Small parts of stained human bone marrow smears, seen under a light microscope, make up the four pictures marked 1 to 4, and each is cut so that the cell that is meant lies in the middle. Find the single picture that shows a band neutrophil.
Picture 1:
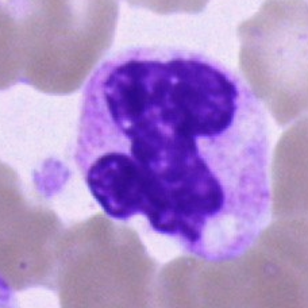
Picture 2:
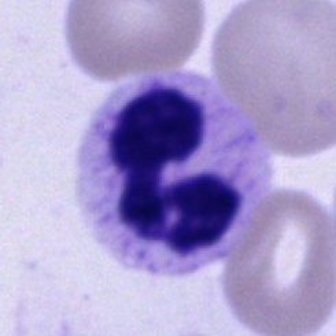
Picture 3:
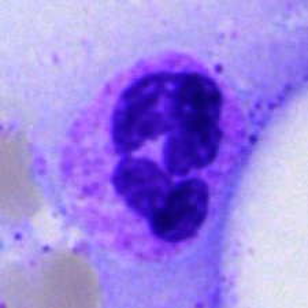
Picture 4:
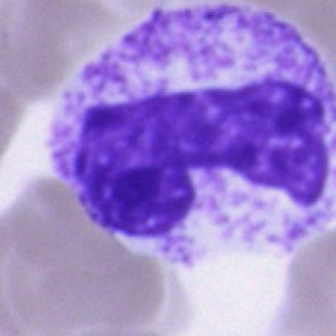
4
